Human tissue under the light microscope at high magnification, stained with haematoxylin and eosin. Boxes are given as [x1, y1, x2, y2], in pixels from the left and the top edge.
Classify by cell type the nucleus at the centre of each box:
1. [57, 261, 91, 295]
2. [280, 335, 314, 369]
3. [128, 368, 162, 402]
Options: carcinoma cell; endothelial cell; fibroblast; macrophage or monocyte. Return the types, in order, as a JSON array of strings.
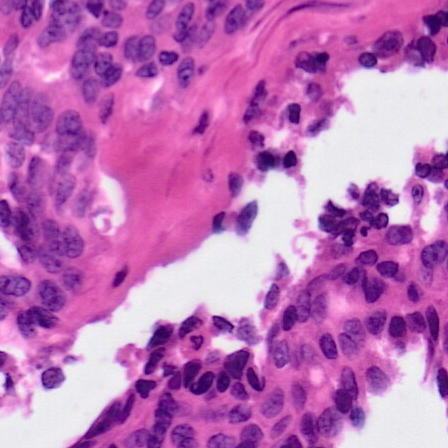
["carcinoma cell", "carcinoma cell", "macrophage or monocyte"]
